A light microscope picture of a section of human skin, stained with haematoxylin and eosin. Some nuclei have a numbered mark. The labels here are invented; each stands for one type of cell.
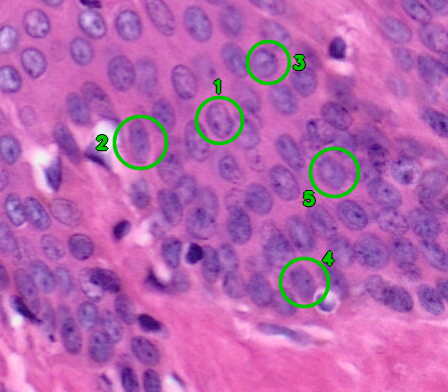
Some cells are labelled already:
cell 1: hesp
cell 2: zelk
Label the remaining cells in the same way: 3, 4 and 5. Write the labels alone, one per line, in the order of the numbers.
hesp
zelk
hesp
